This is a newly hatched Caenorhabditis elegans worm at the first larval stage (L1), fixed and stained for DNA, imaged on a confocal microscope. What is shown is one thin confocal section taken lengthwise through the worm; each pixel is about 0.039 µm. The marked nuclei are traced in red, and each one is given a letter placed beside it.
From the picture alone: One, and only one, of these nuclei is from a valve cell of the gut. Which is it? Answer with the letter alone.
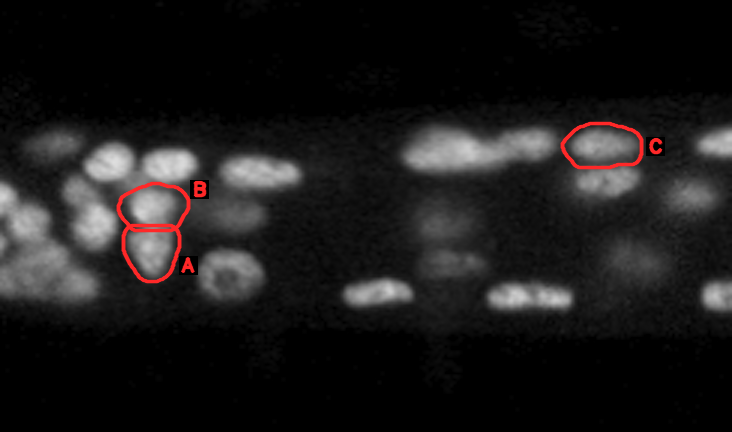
A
